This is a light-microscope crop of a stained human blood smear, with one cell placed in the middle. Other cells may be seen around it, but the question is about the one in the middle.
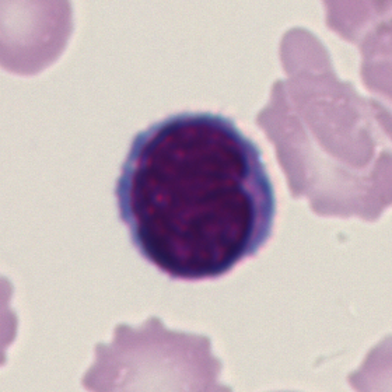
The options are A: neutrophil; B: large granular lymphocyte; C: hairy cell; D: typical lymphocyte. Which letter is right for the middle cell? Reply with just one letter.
D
